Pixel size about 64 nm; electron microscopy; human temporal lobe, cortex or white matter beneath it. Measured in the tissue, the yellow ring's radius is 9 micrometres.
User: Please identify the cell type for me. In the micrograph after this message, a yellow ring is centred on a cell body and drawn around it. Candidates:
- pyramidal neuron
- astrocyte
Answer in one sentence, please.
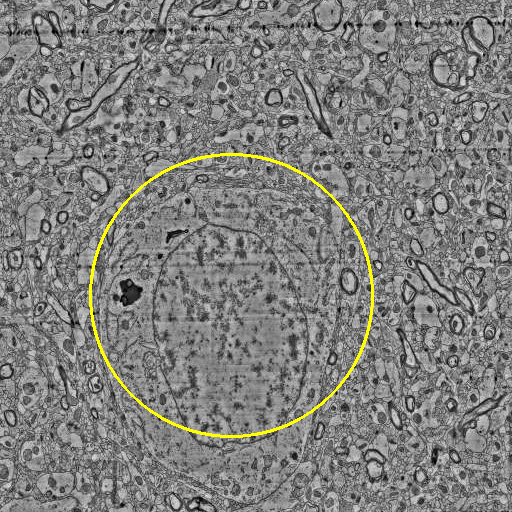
The ring is drawn around the cell body of a pyramidal neuron.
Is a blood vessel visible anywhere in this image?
No, no vessel appears in the picture.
